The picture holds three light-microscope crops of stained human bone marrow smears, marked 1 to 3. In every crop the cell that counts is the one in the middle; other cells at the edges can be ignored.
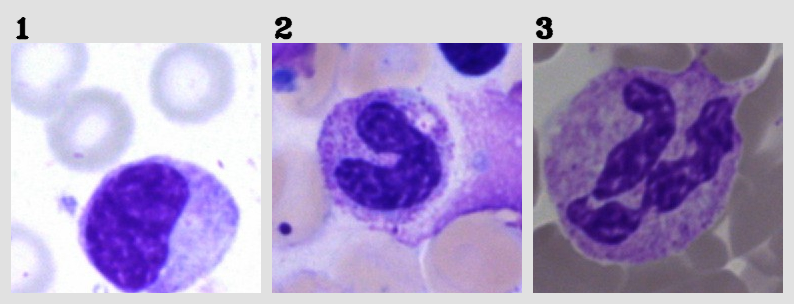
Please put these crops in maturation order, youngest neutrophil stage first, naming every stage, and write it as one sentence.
Ordered by maturity, from least to most, the crops are crop 1 (a metamyelocyte), crop 2 (a band neutrophil) and crop 3 (a segmented neutrophil).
